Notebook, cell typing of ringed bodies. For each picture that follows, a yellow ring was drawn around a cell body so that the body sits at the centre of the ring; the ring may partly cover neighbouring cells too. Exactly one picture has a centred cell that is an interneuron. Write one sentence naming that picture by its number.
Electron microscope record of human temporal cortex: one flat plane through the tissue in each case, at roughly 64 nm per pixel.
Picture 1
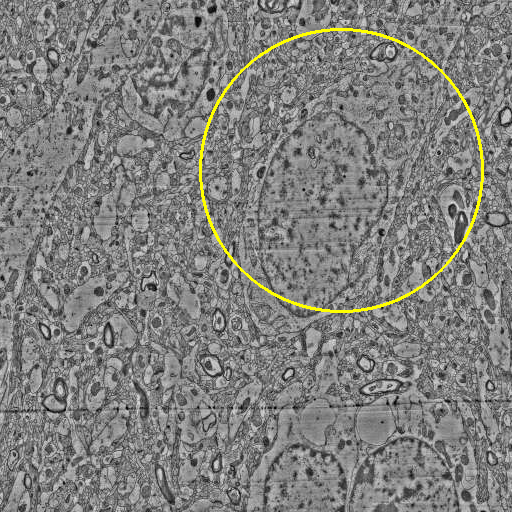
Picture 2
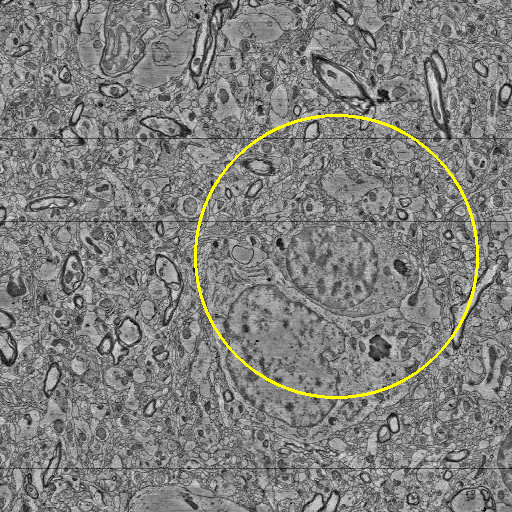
Picture 1 is the one with it at the centre of its ring.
